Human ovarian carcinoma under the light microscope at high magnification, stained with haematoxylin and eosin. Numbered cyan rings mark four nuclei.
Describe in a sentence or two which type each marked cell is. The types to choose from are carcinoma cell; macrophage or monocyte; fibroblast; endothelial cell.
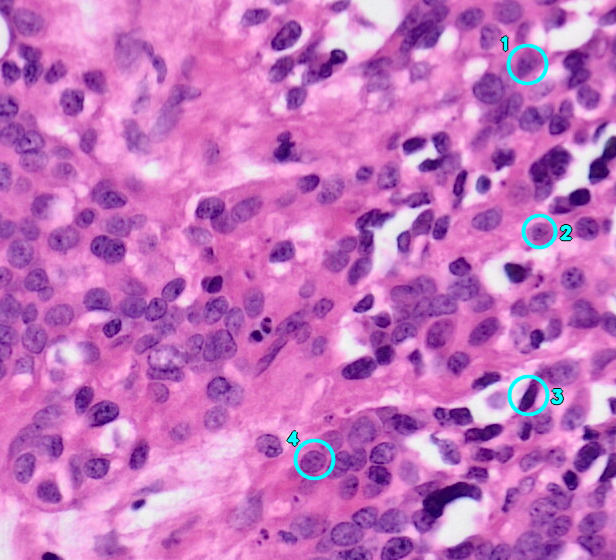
Cells 1, 3 and 4 are carcinoma cells. Cell 2 is a macrophage or monocyte.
